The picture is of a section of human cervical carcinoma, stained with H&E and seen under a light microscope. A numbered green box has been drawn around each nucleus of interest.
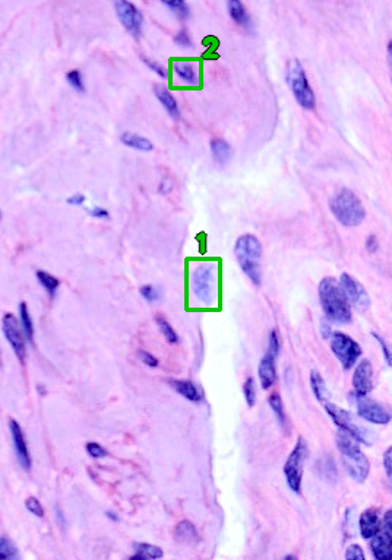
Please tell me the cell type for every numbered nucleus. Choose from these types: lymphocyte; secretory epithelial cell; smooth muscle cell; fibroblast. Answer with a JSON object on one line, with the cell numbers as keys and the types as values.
{"1": "fibroblast", "2": "smooth muscle cell"}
